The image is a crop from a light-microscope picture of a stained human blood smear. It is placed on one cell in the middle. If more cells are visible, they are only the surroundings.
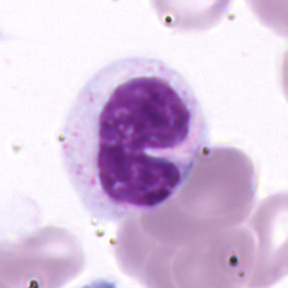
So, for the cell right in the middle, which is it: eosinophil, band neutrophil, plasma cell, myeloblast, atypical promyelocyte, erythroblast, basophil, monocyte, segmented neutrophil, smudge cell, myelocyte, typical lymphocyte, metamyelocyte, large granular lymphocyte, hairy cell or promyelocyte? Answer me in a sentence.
The cell centered in this field of view is a band neutrophil.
